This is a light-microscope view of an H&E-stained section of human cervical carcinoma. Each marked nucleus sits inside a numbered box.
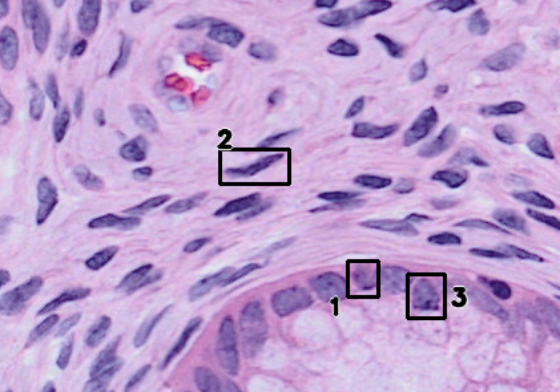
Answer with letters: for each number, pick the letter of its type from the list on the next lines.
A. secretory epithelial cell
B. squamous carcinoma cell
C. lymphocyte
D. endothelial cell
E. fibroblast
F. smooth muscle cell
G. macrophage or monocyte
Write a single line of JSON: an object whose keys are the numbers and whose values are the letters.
{"1": "A", "2": "E", "3": "A"}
